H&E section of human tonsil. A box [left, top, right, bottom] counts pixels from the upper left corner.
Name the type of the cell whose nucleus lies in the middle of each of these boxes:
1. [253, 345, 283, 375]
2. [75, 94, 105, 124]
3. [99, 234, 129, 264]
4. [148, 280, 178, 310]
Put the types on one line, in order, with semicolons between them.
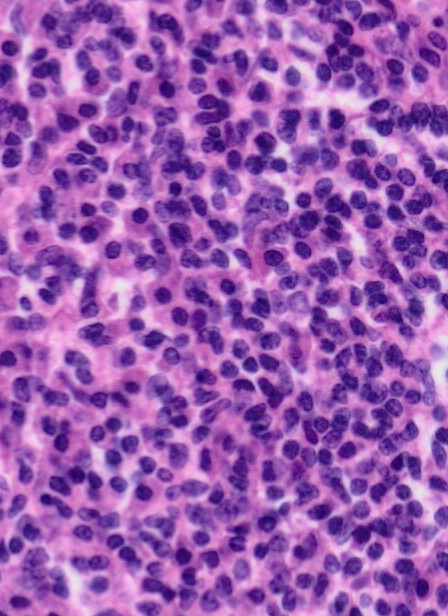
small lymphocyte; plasma cell; plasma cell; plasma cell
